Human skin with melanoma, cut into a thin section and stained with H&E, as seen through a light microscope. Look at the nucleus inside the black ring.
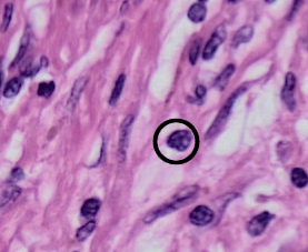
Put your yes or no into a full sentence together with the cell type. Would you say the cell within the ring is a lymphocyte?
Yes, the cell within the ring counts as a lymphocyte in this tissue.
